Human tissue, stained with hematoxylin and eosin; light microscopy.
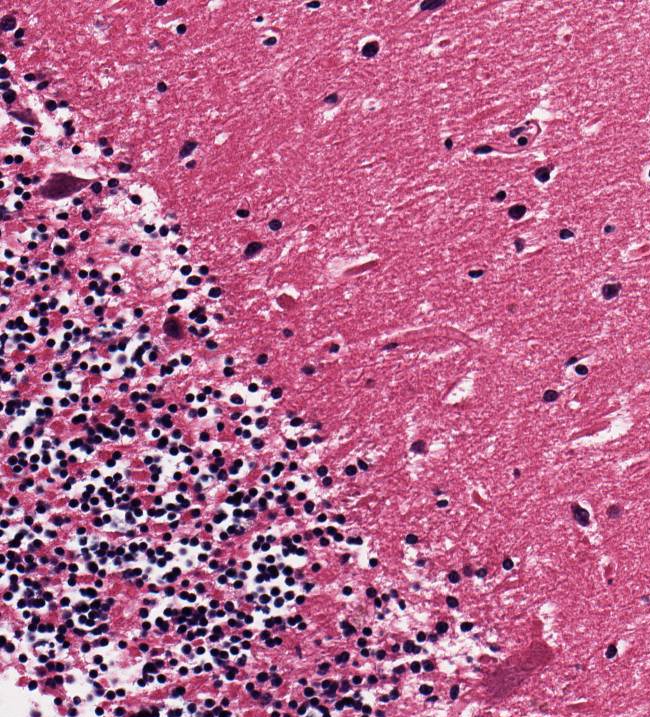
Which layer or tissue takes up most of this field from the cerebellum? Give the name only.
molecular layer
